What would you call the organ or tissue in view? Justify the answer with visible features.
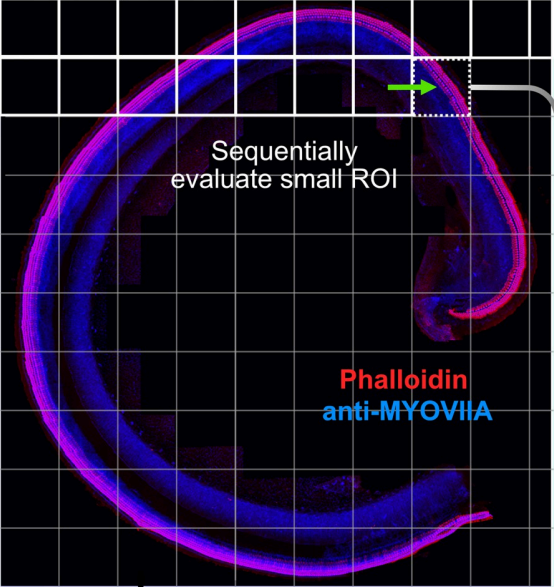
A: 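Cochlea. A single continuous ribbon of tissue coiled into a spiral. The ribbon narrows and curls tightly at one end. A thin bright red-and-blue band runs along the outer edge of the whole coil.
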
